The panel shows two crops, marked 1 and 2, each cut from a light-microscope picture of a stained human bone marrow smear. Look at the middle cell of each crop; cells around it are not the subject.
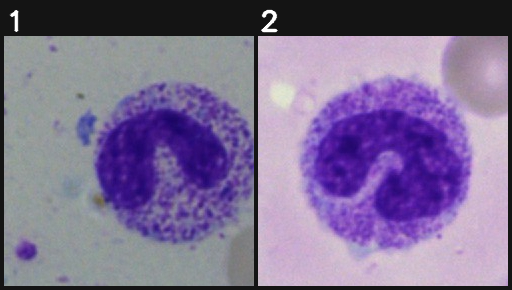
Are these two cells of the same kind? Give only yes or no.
yes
